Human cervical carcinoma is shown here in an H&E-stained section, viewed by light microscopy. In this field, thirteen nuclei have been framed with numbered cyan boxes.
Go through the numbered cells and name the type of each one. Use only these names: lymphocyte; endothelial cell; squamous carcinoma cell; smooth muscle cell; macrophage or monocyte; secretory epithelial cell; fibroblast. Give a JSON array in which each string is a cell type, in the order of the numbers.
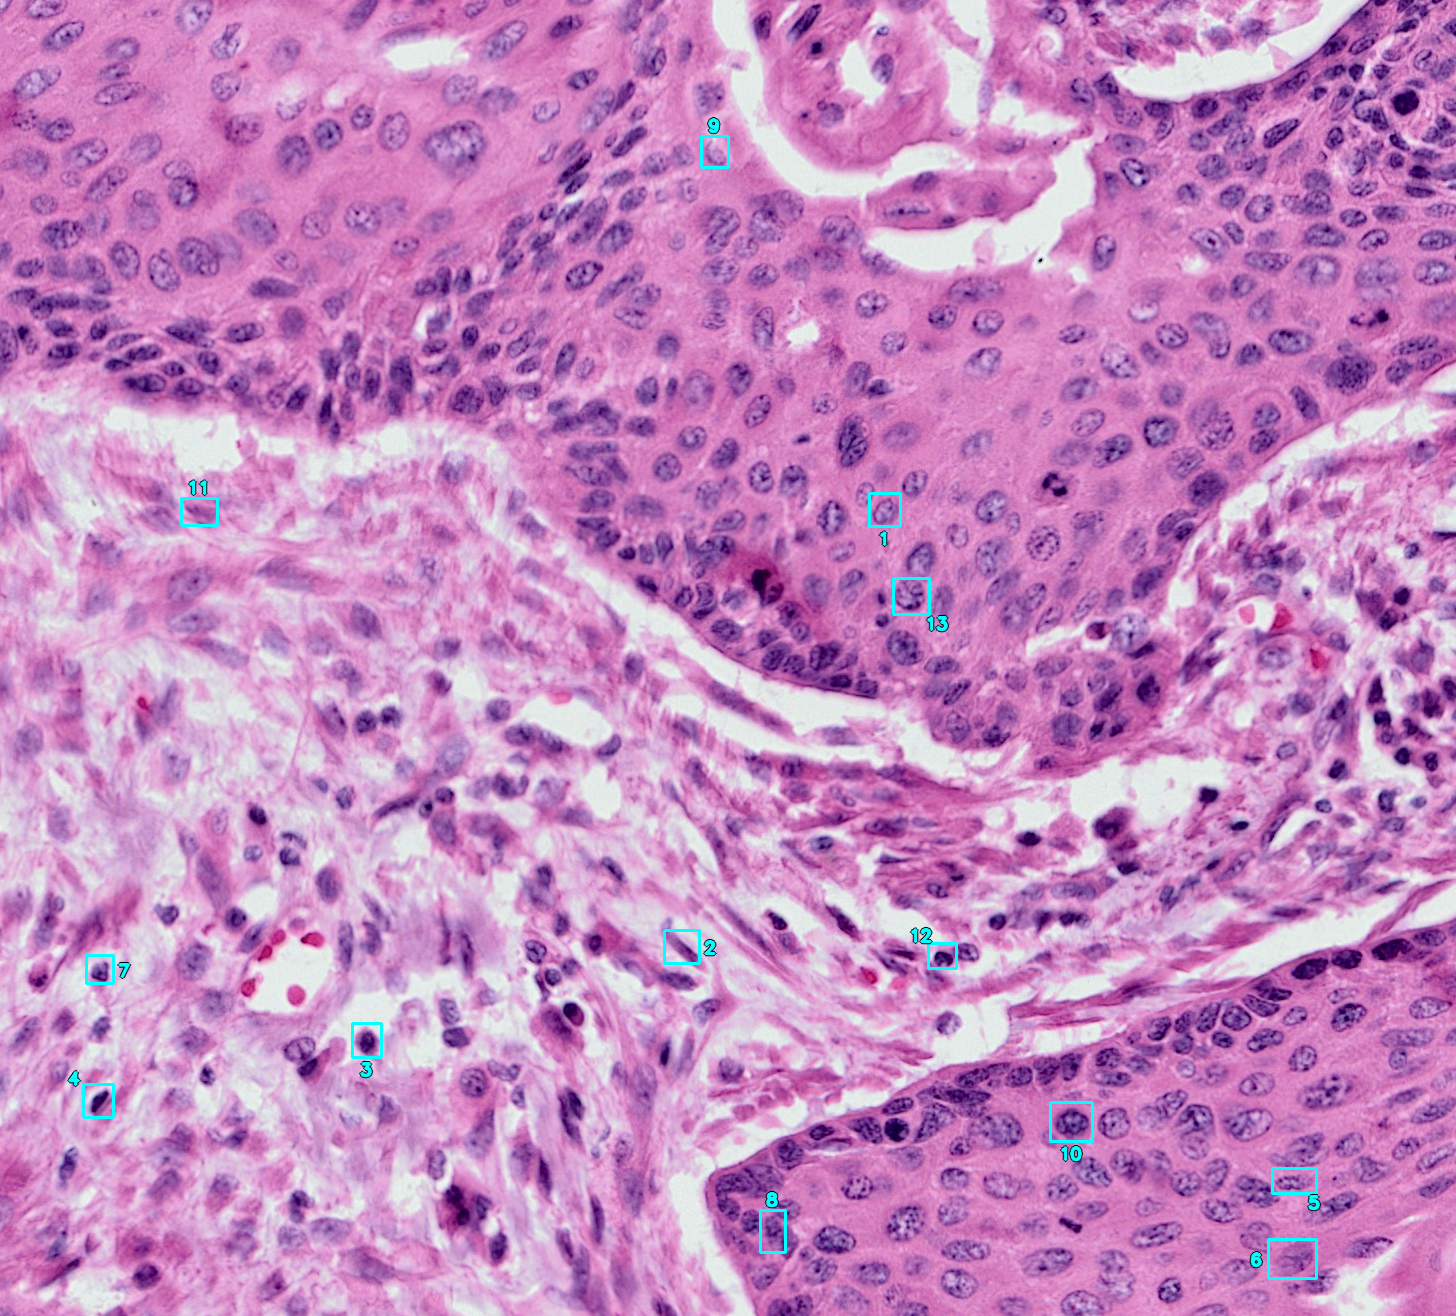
["squamous carcinoma cell", "fibroblast", "lymphocyte", "lymphocyte", "squamous carcinoma cell", "squamous carcinoma cell", "lymphocyte", "squamous carcinoma cell", "squamous carcinoma cell", "squamous carcinoma cell", "fibroblast", "lymphocyte", "squamous carcinoma cell"]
